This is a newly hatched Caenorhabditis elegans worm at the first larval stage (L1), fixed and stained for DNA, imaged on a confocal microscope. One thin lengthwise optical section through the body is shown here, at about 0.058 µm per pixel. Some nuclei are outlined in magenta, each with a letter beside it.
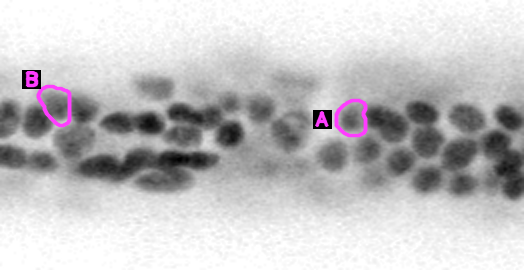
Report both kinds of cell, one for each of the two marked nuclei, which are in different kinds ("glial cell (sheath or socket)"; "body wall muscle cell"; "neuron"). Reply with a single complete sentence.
B belongs to a glial cell (sheath or socket), and A to a neuron.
